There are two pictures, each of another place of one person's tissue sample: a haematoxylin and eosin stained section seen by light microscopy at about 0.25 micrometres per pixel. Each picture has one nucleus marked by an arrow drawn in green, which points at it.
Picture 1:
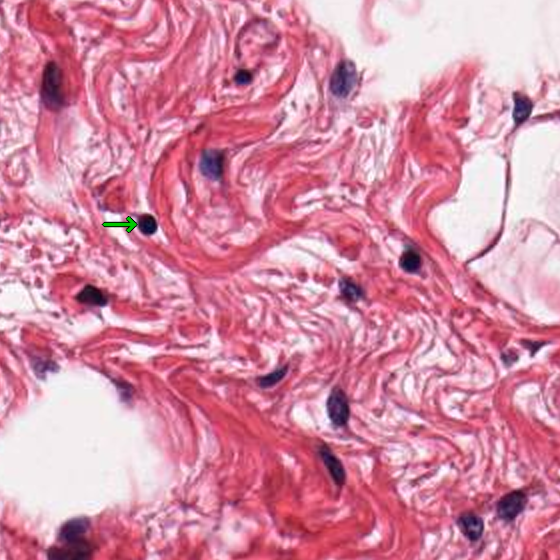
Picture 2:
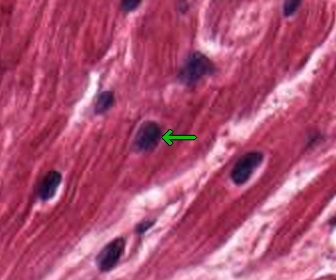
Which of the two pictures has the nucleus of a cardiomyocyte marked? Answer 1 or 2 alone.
2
